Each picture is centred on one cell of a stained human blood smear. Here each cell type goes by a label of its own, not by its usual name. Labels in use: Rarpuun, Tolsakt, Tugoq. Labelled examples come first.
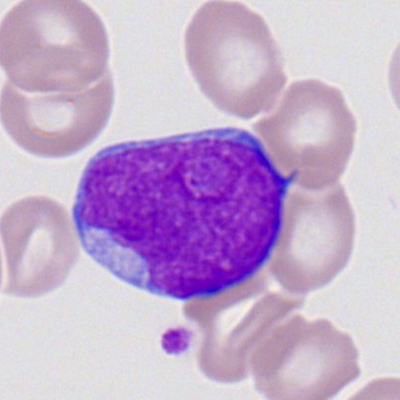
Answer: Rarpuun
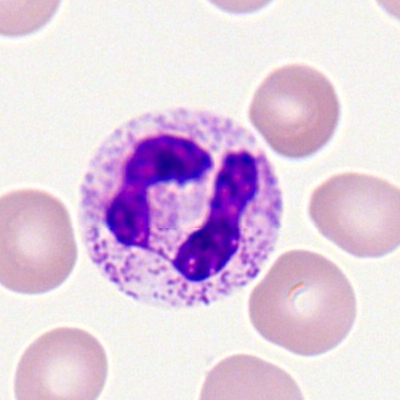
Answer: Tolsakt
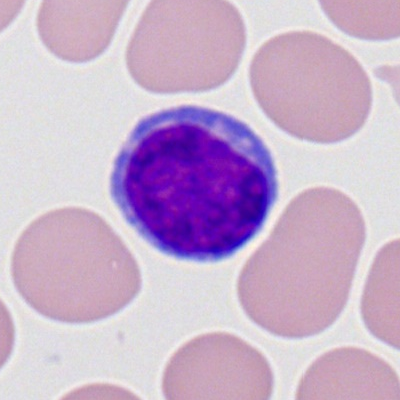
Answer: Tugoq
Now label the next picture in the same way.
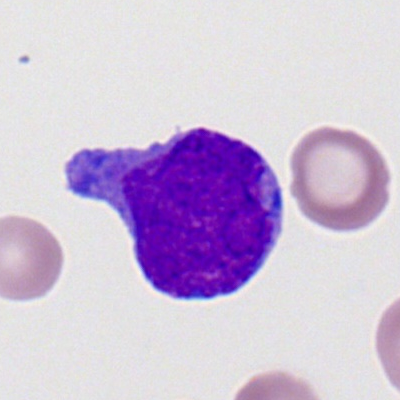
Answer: Rarpuun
